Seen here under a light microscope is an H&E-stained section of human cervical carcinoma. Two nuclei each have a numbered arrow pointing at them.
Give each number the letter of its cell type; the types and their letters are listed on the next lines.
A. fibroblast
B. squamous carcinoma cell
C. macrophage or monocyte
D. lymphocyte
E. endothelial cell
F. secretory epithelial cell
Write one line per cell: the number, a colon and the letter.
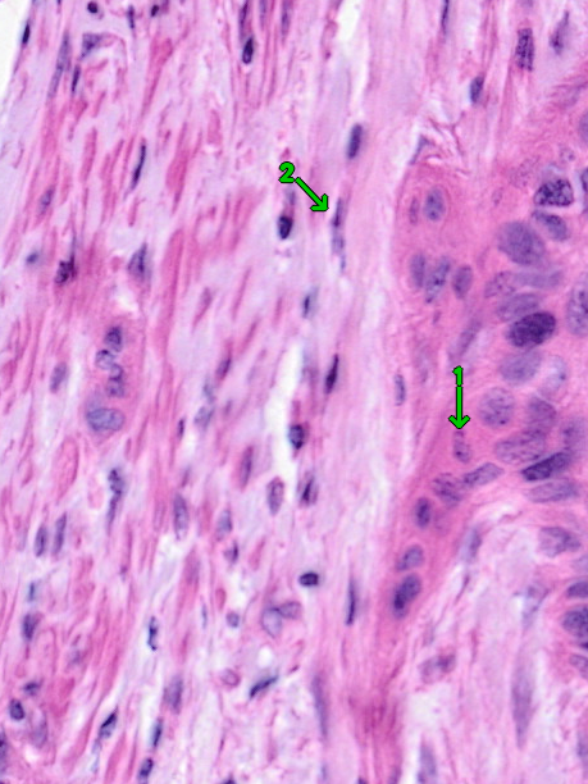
1: B
2: A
